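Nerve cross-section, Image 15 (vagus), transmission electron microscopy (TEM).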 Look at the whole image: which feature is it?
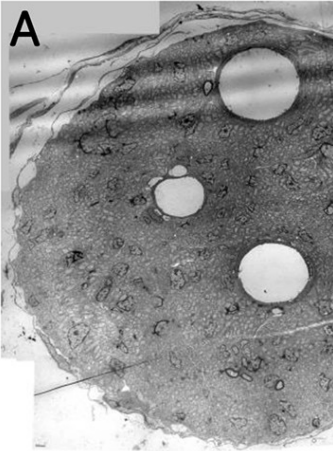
Blood vessels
